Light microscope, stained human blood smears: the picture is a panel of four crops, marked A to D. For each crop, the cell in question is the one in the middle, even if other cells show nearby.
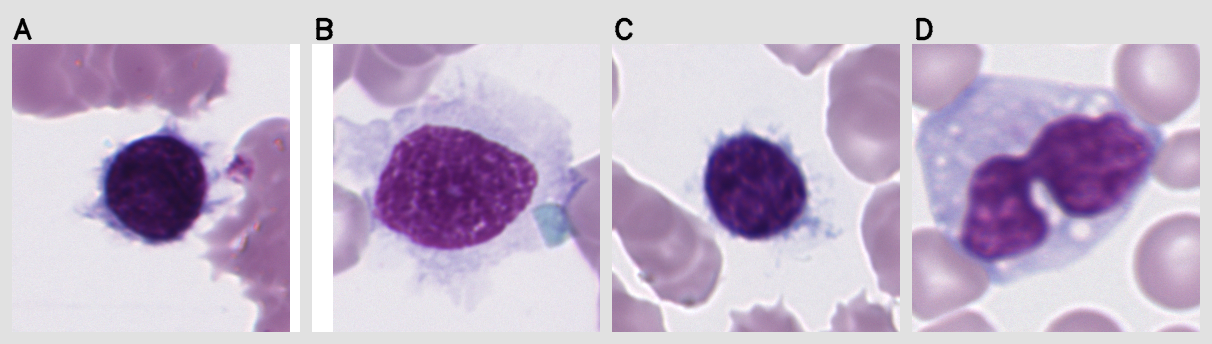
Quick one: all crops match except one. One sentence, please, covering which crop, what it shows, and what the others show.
Crop D holds a monocyte, unlike the remaining crops, all of which hold hairy cells.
